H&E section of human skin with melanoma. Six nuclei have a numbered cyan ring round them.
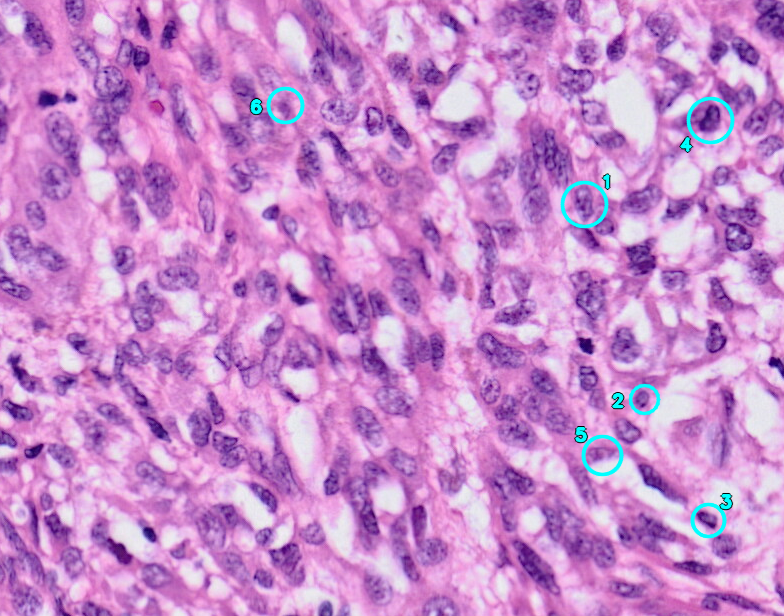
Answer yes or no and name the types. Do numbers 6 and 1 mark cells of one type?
Yes, cells 6 and 1 are both to be classed as melanoma cells.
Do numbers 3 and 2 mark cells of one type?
Yes, cells 3 and 2 fall into the same group, both being macrophages or monocytes.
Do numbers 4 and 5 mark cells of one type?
Yes, in terms of cell type, cells 4 and 5 are both melanoma cells.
